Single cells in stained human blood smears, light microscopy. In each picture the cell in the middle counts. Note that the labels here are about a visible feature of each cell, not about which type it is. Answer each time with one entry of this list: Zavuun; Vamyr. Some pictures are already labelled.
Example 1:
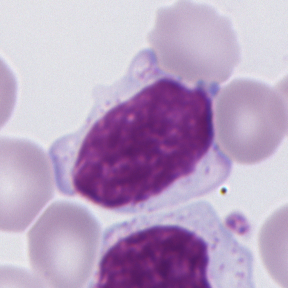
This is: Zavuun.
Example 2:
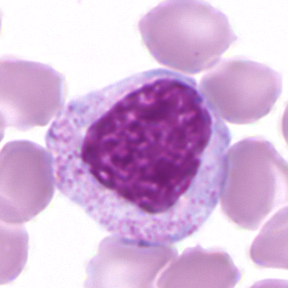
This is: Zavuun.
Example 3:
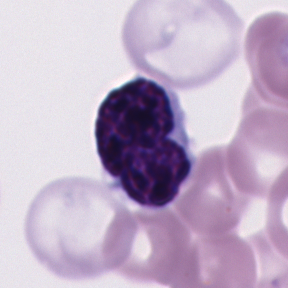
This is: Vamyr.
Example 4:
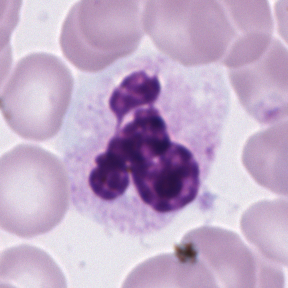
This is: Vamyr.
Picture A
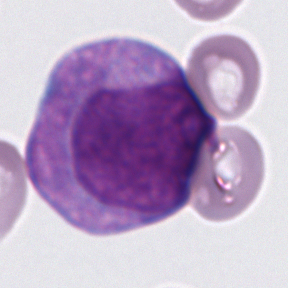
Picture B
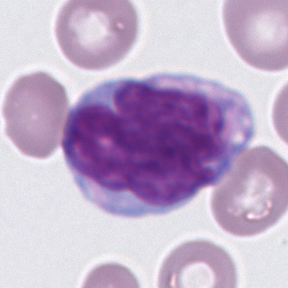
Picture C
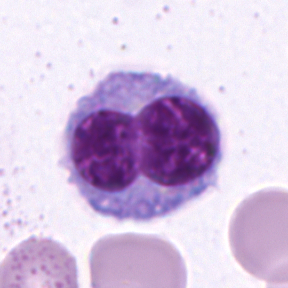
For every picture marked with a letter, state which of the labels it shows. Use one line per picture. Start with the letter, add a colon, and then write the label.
A: Zavuun.
B: Vamyr.
C: Vamyr.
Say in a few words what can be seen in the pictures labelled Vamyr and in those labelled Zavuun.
In Vamyr: lobed nucleus. In Zavuun: single compact nucleus.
